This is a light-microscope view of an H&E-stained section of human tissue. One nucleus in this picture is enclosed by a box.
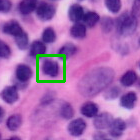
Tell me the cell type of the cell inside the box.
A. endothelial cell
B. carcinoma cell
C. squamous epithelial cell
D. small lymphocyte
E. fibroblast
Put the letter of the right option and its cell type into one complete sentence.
The right pick is option A; the cell inside the box is an endothelial cell.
